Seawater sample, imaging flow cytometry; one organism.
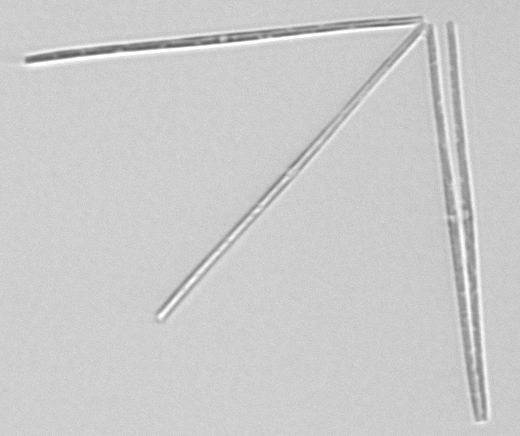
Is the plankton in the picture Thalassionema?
Yes, it is Thalassionema.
